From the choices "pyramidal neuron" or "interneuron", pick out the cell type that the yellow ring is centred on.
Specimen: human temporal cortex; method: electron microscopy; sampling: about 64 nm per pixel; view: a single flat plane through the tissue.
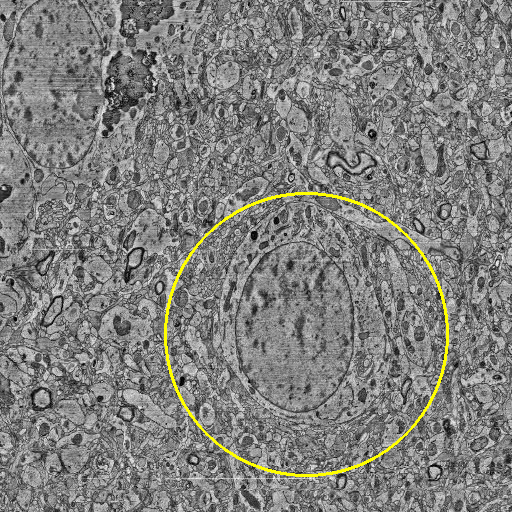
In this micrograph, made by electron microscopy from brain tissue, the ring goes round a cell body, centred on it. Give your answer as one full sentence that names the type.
The yellow ring is centred on a pyramidal neuron, whose cell body it encircles in the picture.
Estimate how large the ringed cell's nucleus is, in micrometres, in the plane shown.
The nucleus works out at approximately 11 by 8 micrometres in this plane.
